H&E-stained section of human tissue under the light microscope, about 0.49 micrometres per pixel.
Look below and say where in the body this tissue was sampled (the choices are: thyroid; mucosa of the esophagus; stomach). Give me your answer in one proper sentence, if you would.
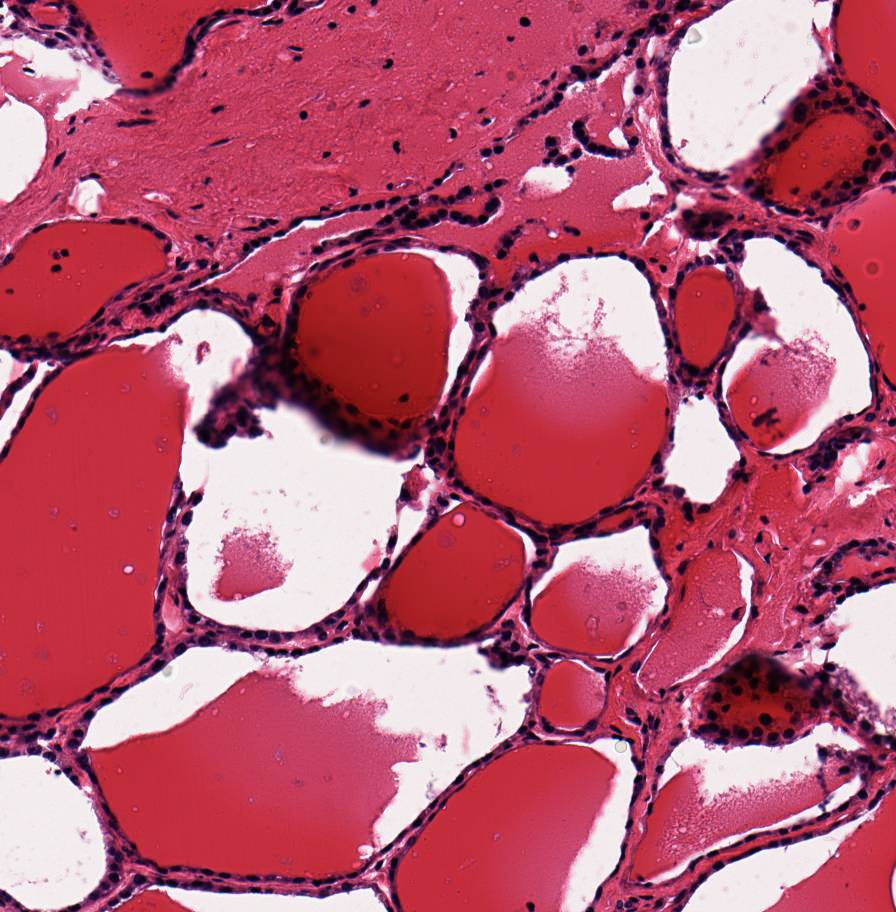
By sampling the thyroid, this tissue was obtained.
